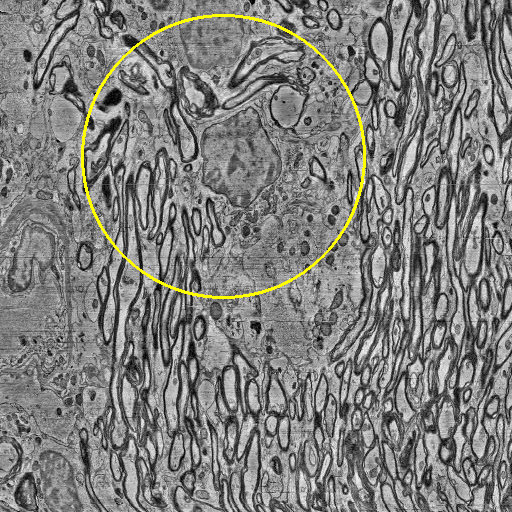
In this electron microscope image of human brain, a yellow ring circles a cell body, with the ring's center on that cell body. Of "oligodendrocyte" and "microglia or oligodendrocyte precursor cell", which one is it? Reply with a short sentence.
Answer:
It is a microglial cell or oligodendrocyte precursor cell at the center of the ring.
